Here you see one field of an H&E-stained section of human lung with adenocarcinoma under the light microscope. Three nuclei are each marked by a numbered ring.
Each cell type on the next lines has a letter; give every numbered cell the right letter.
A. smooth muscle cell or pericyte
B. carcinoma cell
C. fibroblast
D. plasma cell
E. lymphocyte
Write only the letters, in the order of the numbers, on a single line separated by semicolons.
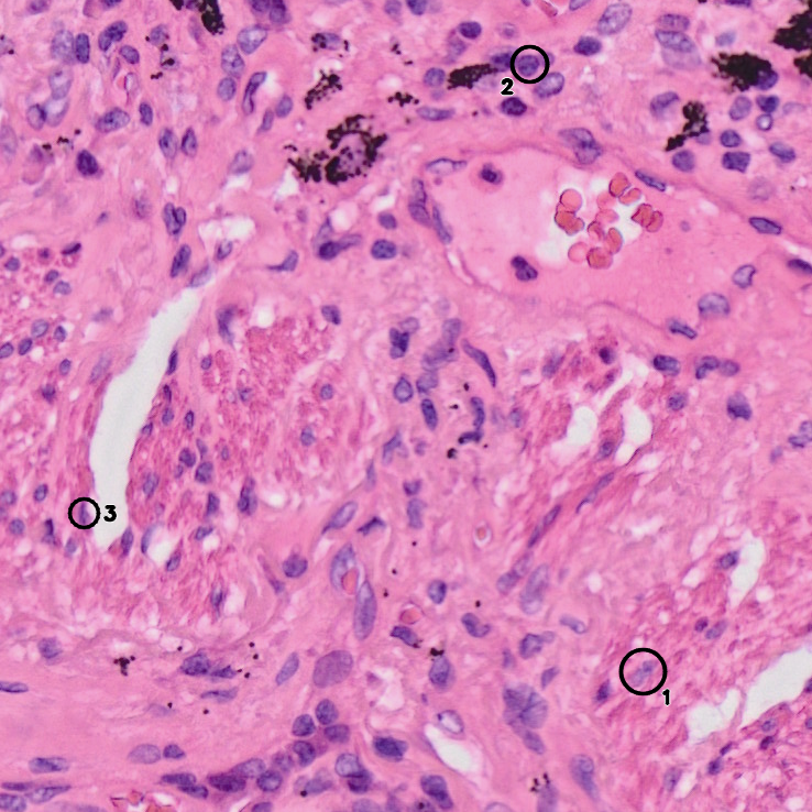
A; E; A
